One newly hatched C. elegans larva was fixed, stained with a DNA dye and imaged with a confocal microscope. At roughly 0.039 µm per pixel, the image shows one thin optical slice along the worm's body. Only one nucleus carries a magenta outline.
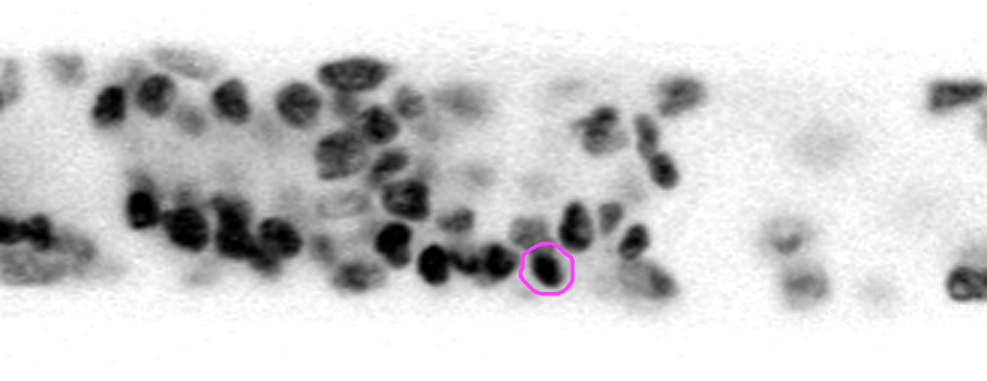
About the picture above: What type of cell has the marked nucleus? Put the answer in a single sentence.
This is the nucleus of a neuron.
